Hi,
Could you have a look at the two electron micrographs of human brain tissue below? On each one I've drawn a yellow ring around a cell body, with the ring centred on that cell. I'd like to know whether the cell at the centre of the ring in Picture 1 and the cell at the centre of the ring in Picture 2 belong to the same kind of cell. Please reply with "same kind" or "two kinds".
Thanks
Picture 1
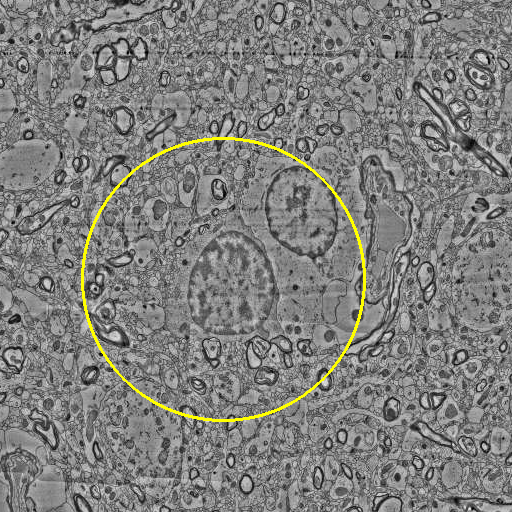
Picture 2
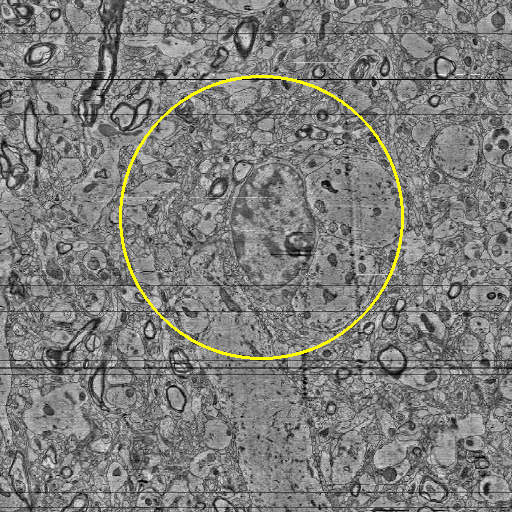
same kind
